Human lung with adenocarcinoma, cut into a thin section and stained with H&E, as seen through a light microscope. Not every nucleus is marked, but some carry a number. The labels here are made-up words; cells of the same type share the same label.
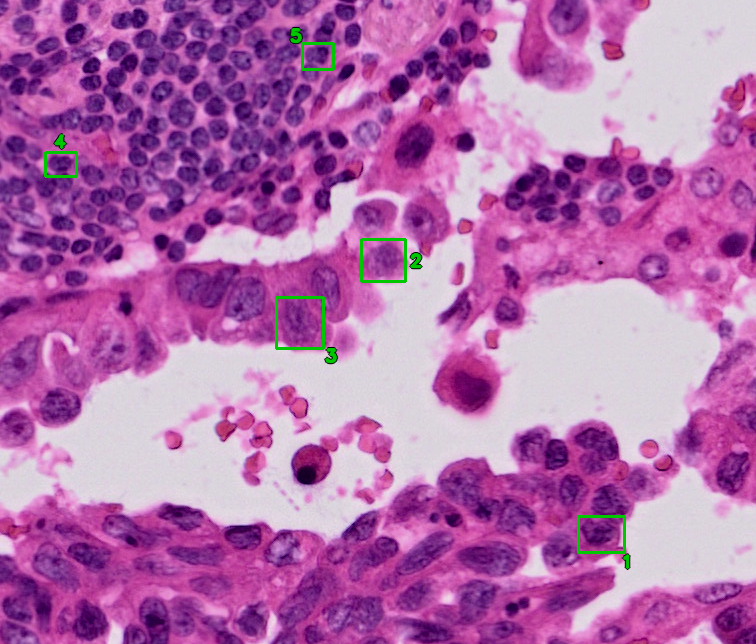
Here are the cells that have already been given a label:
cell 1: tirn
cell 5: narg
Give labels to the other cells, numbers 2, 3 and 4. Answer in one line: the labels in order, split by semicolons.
tirn; tirn; narg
